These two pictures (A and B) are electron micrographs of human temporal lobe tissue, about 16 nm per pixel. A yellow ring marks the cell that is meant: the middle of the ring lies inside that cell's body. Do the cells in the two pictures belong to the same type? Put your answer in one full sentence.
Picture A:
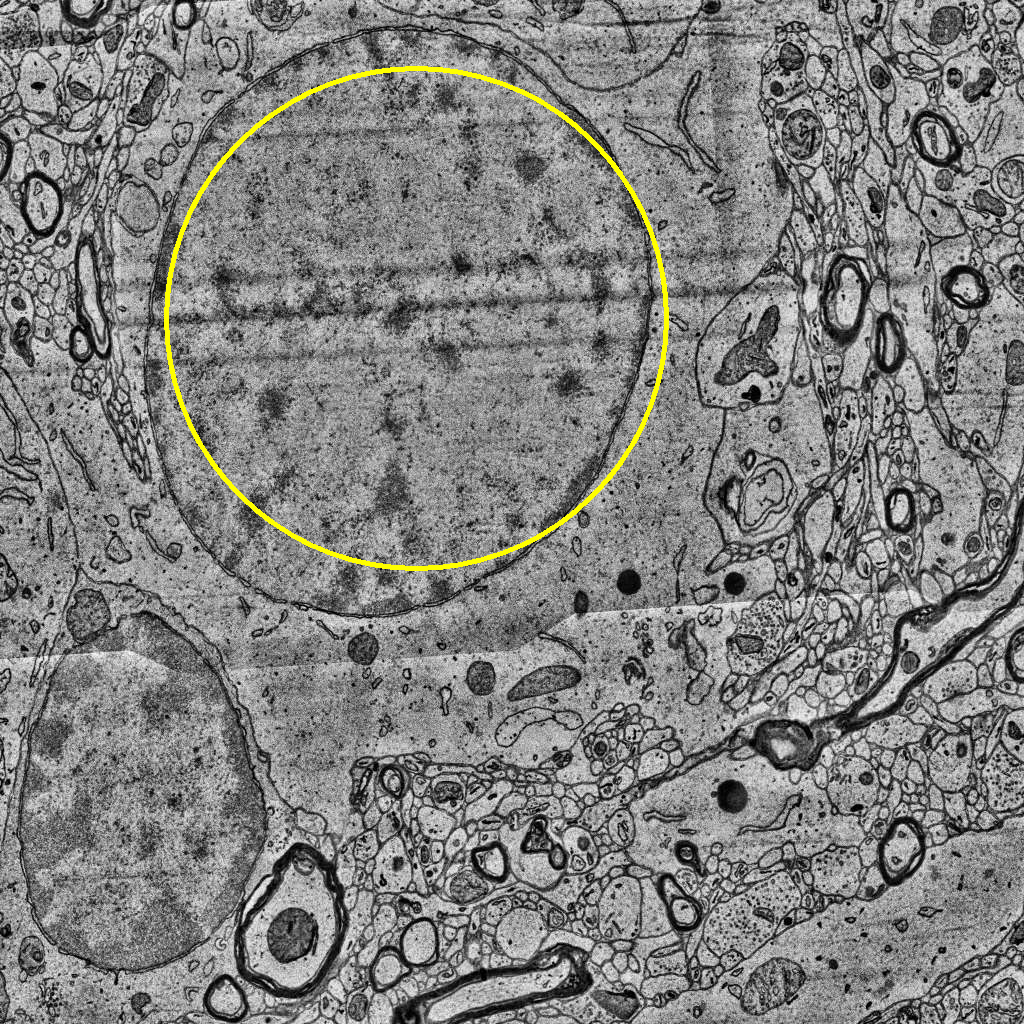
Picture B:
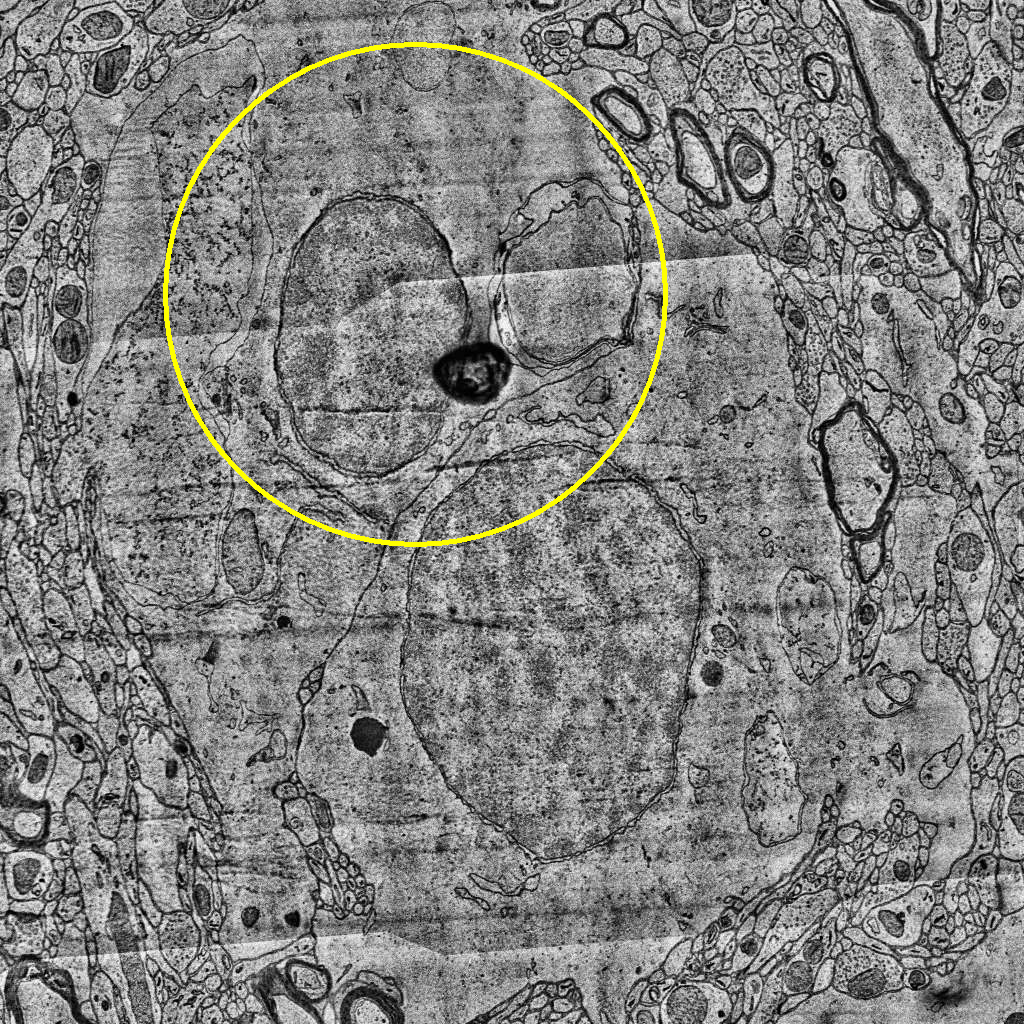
Yes; the cells in both pictures are astrocytes.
